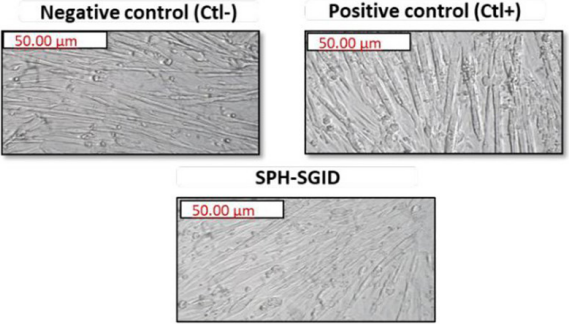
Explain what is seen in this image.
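Unstained skeletal muscle culture with elongated myotubes lying side by side in a largely parallel array. The myotubes are long, narrow and unbranched and extend across much of each field. Small rounded cells lie scattered among and on top of the fibres. In one of the three fields the fibres look broader and more densely packed than in the others.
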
